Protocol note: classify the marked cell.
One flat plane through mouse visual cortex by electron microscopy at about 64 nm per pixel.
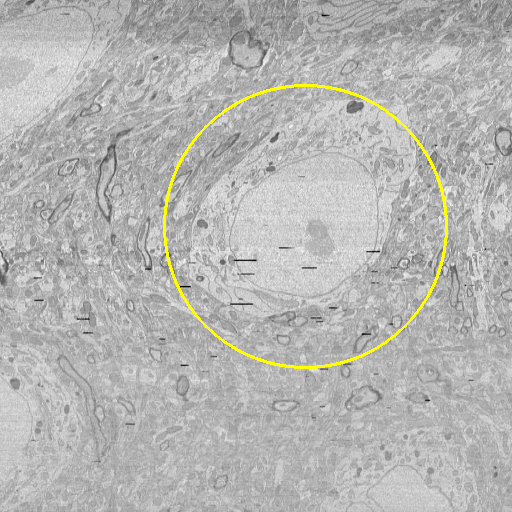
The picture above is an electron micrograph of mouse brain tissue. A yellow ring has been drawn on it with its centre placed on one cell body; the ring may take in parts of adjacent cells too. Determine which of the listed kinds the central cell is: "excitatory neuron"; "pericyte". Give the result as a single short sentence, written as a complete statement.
The central cell is an excitatory neuron.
